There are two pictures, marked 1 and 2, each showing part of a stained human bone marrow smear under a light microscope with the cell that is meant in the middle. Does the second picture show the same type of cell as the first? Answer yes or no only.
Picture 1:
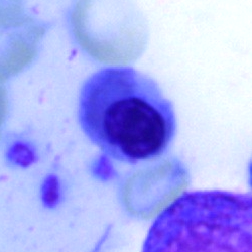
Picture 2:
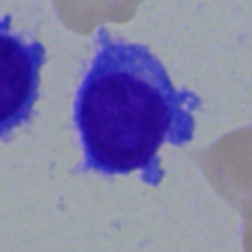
no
